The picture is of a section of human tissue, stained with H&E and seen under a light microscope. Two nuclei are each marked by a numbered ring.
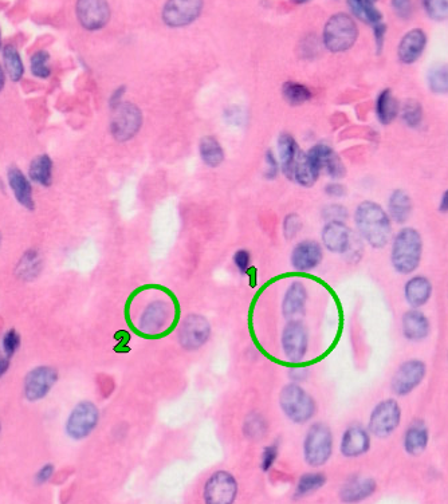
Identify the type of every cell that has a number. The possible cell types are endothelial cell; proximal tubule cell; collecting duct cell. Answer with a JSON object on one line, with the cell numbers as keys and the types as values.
{"1": "collecting duct cell", "2": "proximal tubule cell"}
